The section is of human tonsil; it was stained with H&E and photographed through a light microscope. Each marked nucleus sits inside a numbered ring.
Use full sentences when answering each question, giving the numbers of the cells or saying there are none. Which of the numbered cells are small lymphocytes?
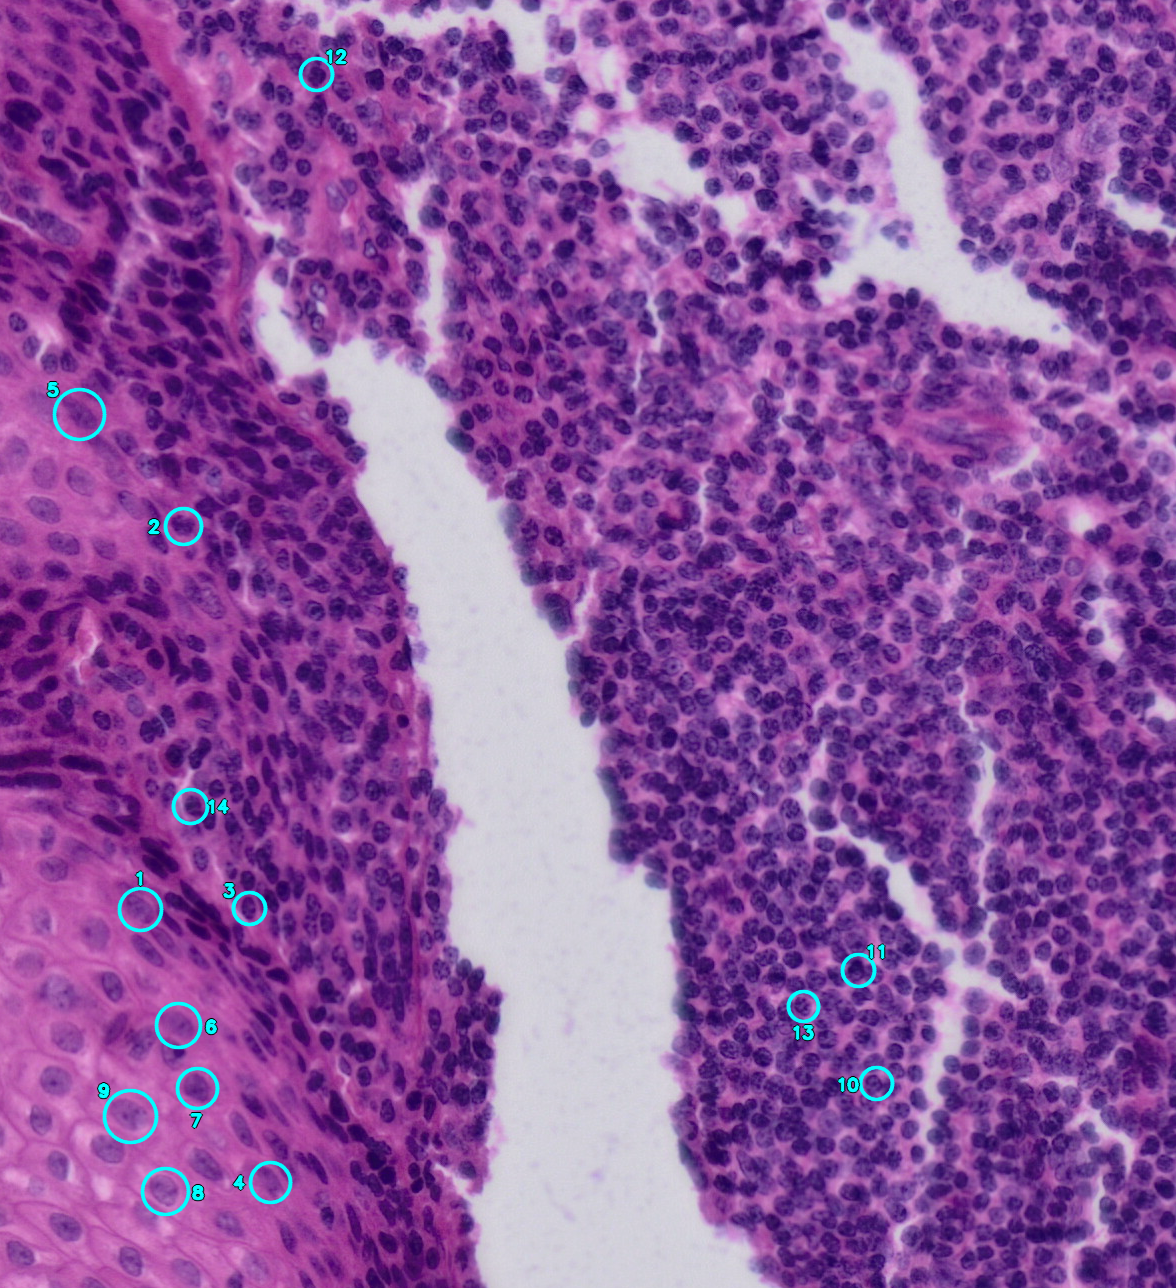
In this section, the cells numbered 10, 11 and 13 are small lymphocytes.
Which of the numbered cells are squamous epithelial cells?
Each of the cells numbered 1, 2, 4, 5, 6, 7, 8 and 9 is among the squamous epithelial cells.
